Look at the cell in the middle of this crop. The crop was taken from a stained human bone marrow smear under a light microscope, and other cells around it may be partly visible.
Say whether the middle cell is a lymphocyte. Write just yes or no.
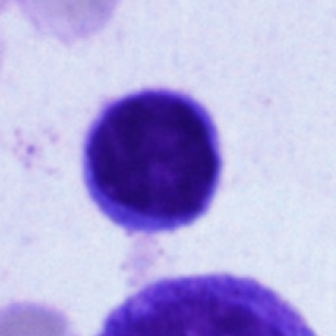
yes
